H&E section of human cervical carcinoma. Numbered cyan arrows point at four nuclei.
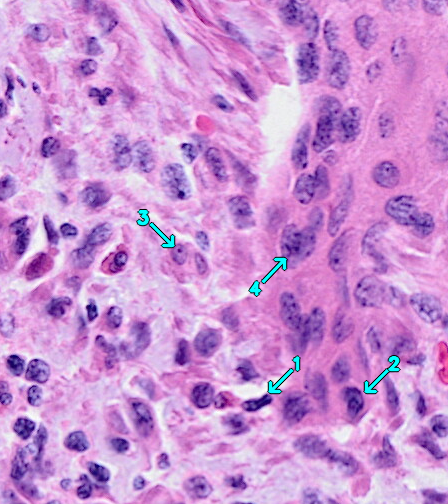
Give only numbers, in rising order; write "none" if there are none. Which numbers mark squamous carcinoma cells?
2, 4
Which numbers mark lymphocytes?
1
